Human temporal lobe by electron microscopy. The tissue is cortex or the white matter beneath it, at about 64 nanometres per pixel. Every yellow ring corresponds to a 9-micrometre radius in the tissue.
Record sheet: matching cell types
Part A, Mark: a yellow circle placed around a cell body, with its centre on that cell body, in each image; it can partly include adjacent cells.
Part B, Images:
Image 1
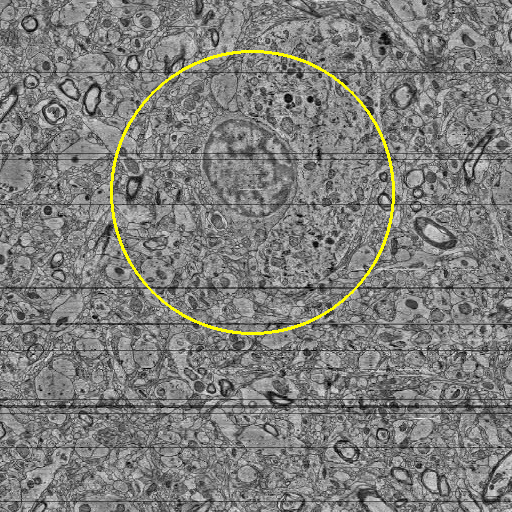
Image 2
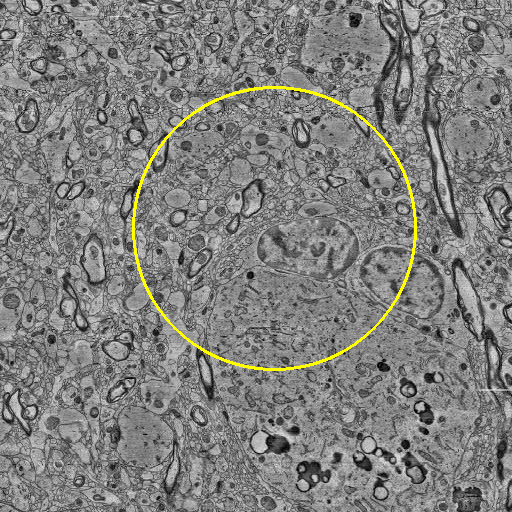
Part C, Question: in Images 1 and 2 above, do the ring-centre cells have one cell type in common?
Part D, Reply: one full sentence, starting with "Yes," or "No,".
No, the ring-centre cells of Image 1 and Image 2 are each of a separate cell type.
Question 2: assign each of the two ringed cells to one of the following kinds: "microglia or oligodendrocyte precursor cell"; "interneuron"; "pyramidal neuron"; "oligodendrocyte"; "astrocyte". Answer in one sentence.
The two cells are an oligodendrocyte in the first picture and a microglial cell or oligodendrocyte precursor cell in the second.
